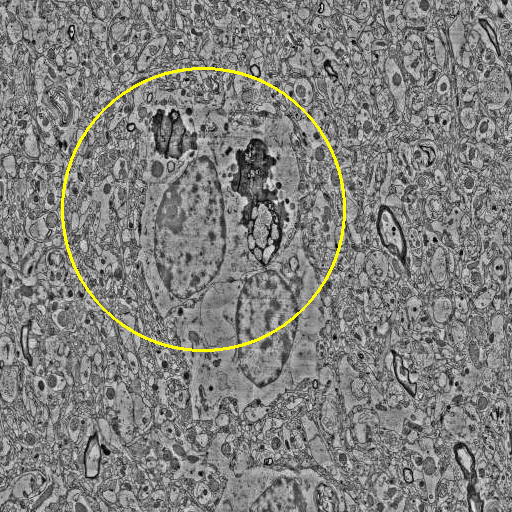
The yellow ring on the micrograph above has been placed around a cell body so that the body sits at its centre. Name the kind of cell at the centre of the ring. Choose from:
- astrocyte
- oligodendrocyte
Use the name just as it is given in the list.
astrocyte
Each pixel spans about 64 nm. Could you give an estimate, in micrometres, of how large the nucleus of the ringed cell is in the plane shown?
Approximately 8 by 5 micrometers, which makes the nucleus clearly longer than it is wide in this plane.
